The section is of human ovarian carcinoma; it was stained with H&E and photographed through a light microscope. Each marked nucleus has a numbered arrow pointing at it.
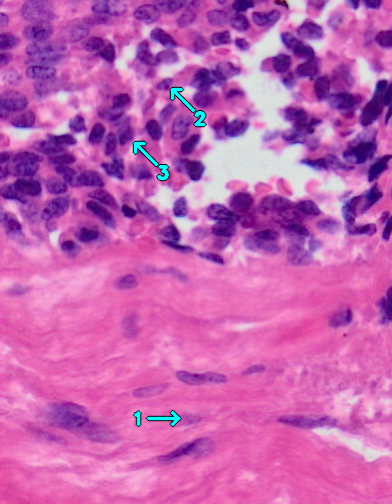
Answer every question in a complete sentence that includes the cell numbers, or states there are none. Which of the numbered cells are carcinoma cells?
Just one of the numbered cells is a carcinoma cell, namely number 3.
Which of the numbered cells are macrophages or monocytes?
Among the marked cells, a macrophage or monocyte is found only at number 2.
